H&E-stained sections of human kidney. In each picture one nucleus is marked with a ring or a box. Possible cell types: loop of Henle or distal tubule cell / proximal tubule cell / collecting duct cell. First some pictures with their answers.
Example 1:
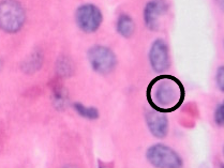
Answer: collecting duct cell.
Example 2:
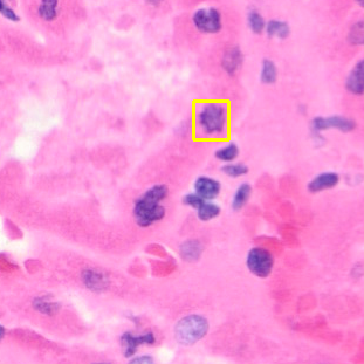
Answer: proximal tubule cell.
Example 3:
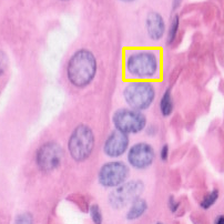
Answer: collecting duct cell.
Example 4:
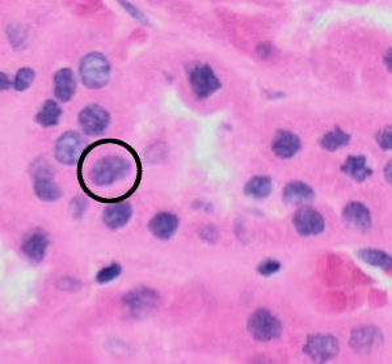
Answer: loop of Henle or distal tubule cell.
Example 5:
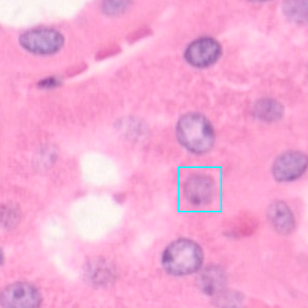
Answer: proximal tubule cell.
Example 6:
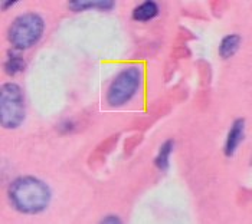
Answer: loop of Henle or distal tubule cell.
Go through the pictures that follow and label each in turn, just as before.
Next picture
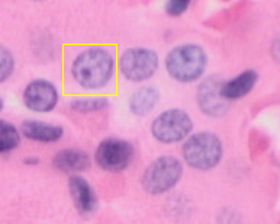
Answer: collecting duct cell.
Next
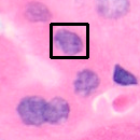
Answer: proximal tubule cell.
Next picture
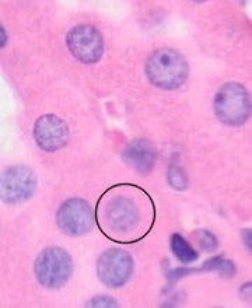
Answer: loop of Henle or distal tubule cell.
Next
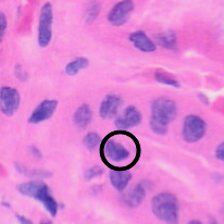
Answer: collecting duct cell.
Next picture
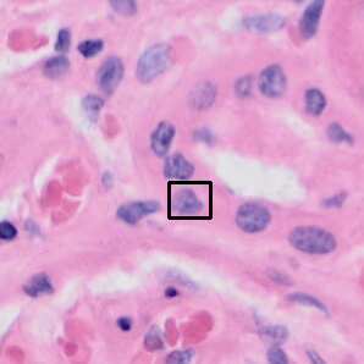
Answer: collecting duct cell.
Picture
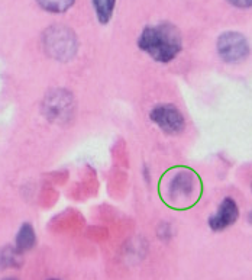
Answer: loop of Henle or distal tubule cell.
